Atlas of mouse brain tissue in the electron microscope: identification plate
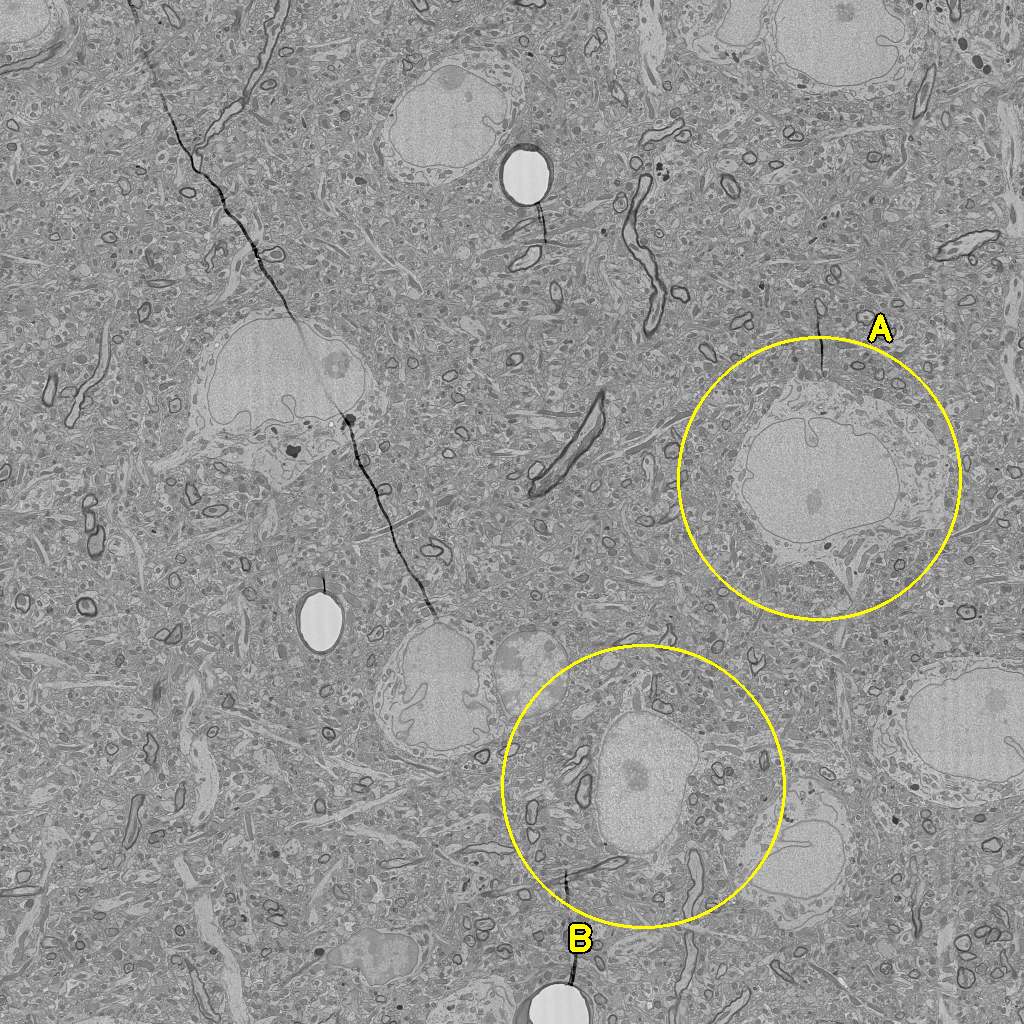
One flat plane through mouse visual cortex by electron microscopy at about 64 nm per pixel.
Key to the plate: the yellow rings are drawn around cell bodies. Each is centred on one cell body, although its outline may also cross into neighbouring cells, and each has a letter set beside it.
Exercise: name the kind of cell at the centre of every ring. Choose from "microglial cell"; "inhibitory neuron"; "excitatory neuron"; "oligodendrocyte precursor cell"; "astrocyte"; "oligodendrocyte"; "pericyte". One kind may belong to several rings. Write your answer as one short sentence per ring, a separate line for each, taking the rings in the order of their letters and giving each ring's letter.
The centre of ring A is occupied by an excitatory neuron.
The centre of ring B is occupied by an astrocyte.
